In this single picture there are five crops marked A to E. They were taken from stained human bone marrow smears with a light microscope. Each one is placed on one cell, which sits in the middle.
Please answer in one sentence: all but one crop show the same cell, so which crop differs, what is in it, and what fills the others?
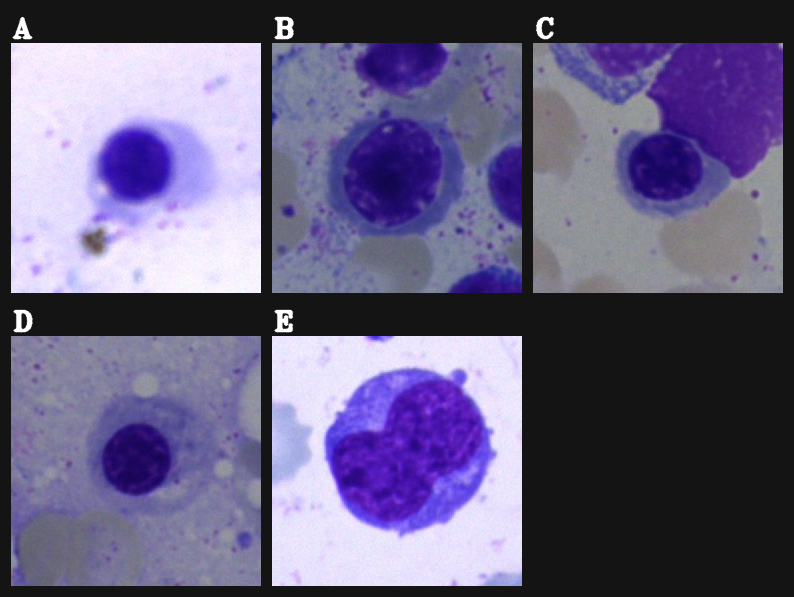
Crop E contains a blast, setting it apart from the other crops, which all contain normoblasts.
